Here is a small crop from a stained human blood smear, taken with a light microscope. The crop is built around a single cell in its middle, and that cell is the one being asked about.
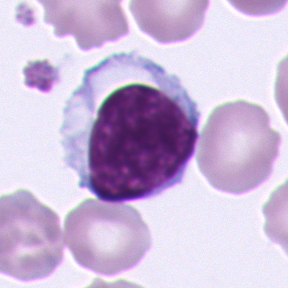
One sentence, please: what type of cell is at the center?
The cell under consideration, at the middle of the crop, is a typical lymphocyte.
